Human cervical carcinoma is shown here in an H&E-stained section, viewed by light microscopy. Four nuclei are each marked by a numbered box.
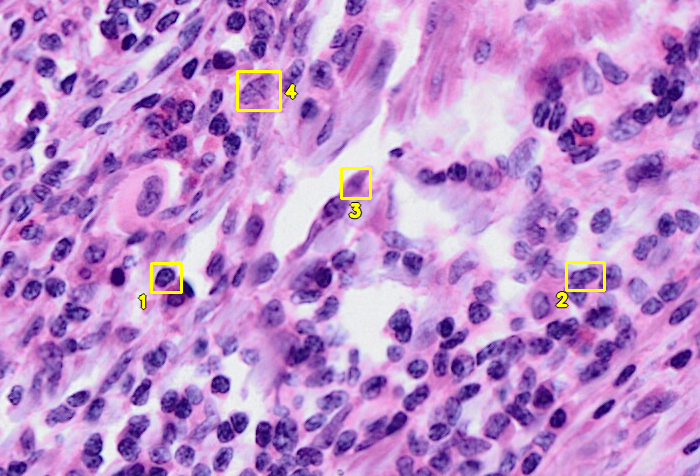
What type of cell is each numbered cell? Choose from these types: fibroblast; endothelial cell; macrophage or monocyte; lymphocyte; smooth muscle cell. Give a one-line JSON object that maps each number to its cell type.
{"1": "lymphocyte", "2": "lymphocyte", "3": "endothelial cell", "4": "macrophage or monocyte"}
